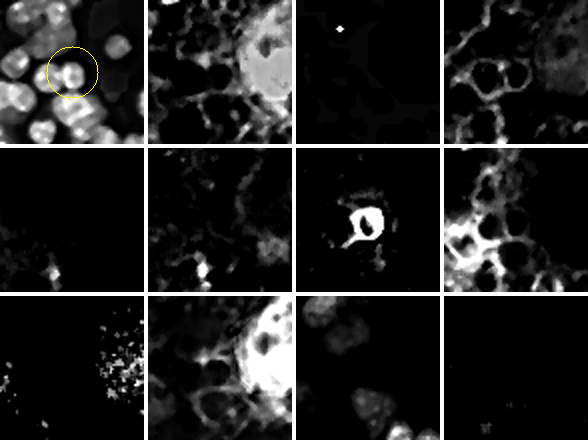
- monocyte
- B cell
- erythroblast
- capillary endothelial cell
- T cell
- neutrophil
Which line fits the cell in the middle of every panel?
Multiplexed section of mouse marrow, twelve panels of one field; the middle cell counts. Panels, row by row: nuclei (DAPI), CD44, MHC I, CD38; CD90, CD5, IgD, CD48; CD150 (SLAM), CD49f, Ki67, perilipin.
B cell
